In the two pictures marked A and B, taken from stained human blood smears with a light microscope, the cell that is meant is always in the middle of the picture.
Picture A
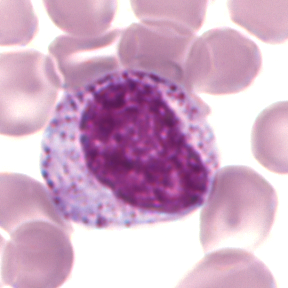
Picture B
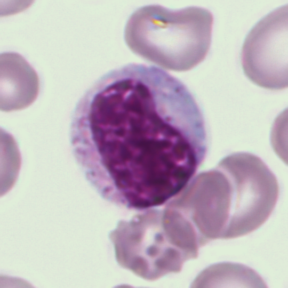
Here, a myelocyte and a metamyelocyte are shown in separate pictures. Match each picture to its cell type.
A: myelocyte
B: metamyelocyte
